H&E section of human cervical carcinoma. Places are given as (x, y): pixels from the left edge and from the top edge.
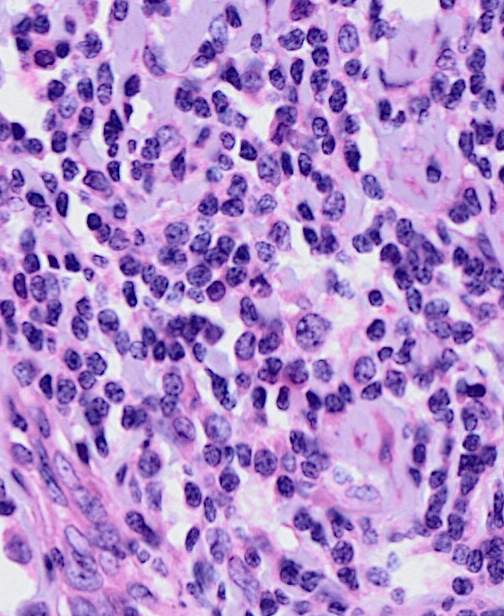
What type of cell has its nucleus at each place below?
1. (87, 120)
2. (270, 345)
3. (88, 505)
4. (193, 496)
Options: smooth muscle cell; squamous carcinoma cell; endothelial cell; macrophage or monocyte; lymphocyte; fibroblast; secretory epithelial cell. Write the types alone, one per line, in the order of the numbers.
lymphocyte
lymphocyte
endothelial cell
lymphocyte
